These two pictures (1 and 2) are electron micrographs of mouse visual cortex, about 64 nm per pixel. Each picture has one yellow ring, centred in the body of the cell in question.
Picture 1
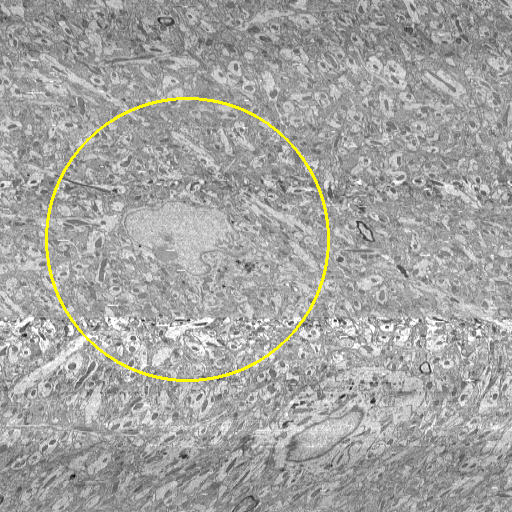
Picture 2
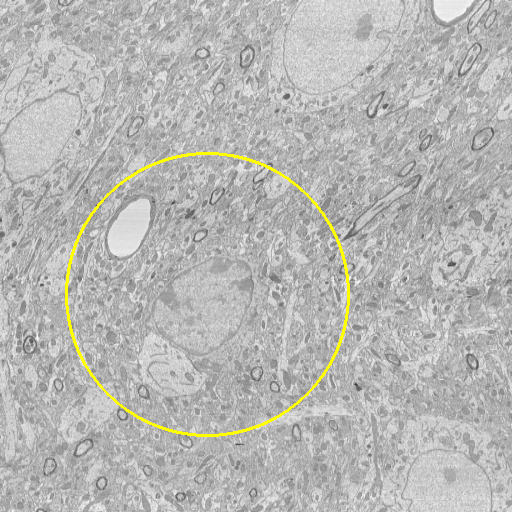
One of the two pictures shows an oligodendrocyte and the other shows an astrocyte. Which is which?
Picture 2 shows an oligodendrocyte, while picture 1 shows an astrocyte.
